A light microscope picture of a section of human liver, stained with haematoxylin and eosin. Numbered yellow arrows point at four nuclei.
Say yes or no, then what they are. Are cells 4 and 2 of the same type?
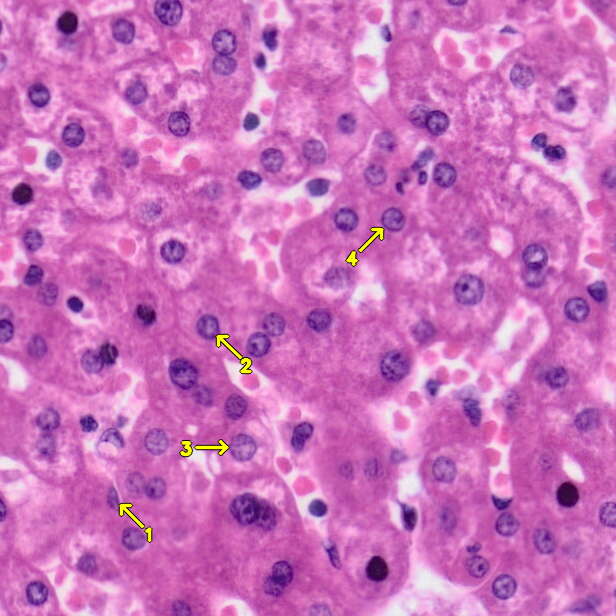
Yes, cells 4 and 2 are both hepatocytes.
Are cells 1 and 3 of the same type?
No, cell 1 is categorized as a fibroblast or stellate cell, while cell 3 is categorized as a hepatocyte.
